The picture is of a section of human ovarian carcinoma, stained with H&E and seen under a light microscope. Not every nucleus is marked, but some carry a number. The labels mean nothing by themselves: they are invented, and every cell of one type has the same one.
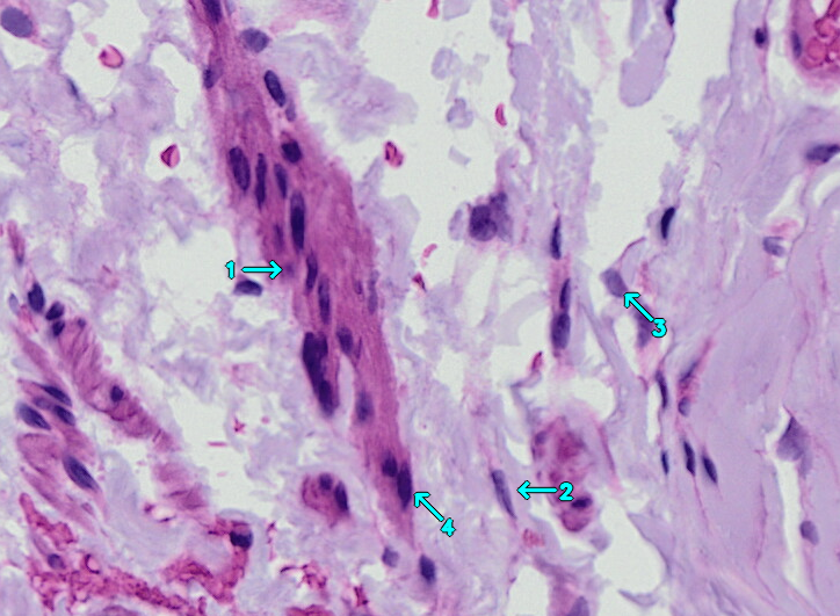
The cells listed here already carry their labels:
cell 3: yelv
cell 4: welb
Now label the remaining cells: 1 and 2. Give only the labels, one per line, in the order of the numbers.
welb
yelv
